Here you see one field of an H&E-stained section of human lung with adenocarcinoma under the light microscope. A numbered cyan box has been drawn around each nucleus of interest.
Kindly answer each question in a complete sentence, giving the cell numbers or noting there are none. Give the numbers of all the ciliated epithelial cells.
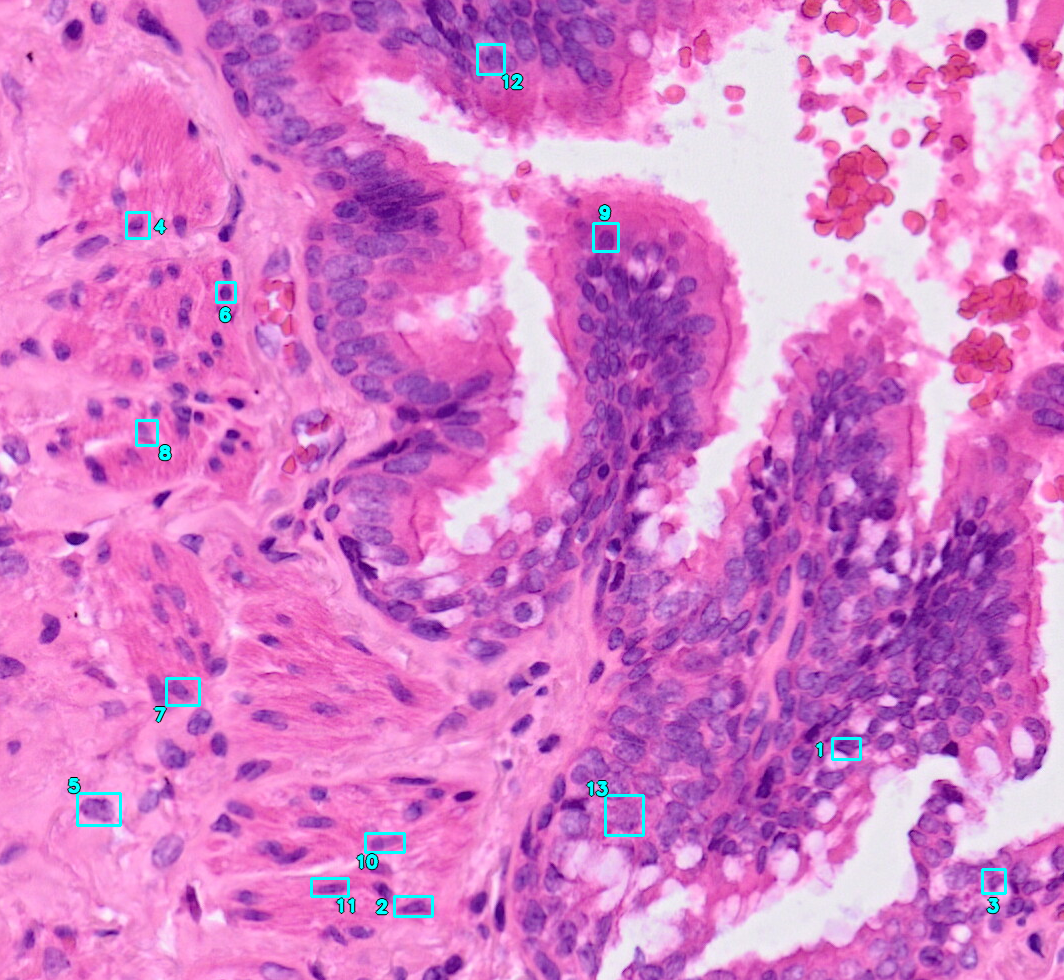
The cells picked out by numbers 1, 3, 9, 12 and 13 are ciliated epithelial cells.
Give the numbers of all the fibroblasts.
Only the cell numbered 5 qualifies as a fibroblast among the marked cells.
